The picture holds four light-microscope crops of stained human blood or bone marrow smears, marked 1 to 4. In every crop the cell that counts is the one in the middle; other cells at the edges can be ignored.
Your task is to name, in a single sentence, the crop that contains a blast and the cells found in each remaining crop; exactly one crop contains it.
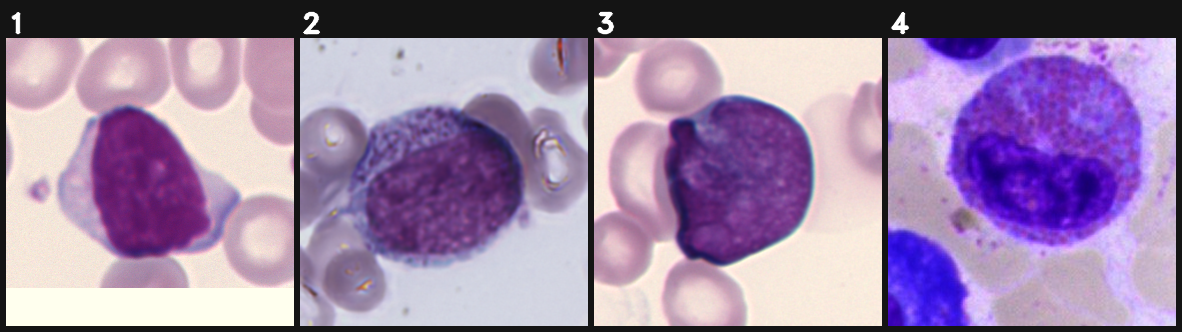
The cell centred in crop 3 is a blast; by contrast, crop 1 is a lymphocyte, crop 2 is a promyelocyte and crop 4 is an eosinophil.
